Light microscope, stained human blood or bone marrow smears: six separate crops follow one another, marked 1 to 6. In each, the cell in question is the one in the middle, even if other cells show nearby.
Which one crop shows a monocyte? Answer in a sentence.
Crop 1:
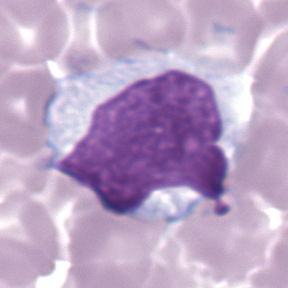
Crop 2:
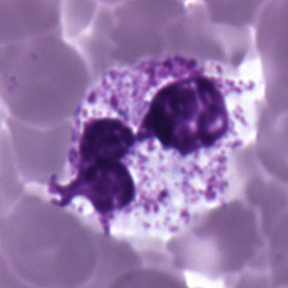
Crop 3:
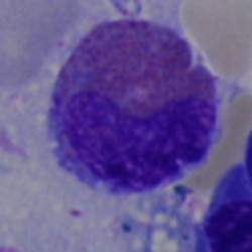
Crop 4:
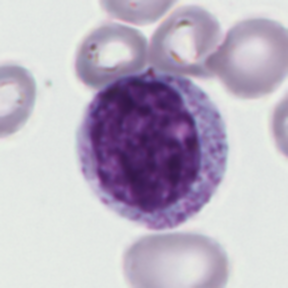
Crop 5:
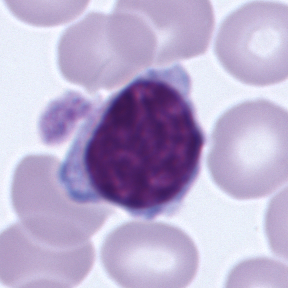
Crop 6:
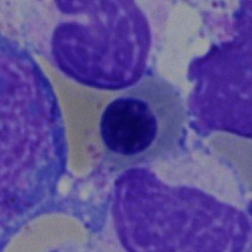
So the crop with a monocyte at its center is crop 1.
